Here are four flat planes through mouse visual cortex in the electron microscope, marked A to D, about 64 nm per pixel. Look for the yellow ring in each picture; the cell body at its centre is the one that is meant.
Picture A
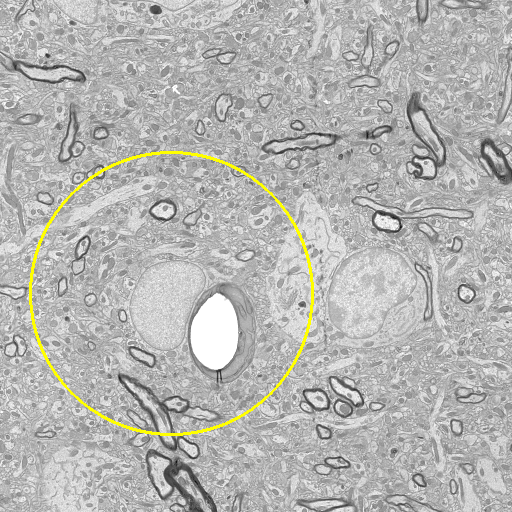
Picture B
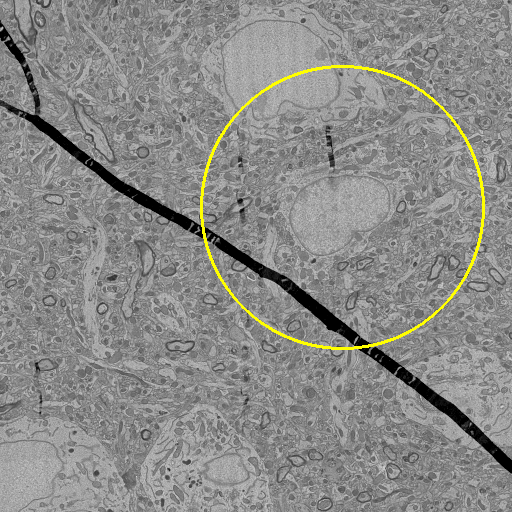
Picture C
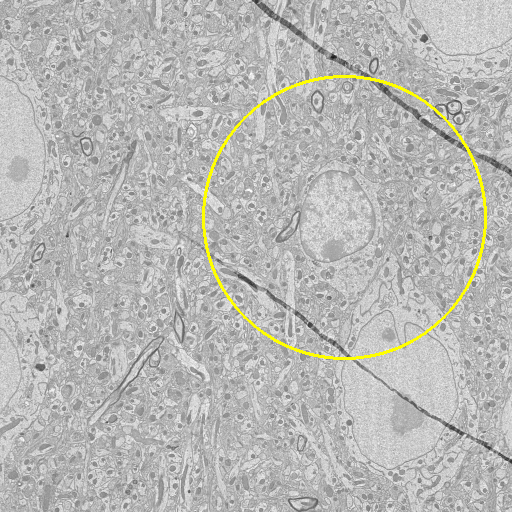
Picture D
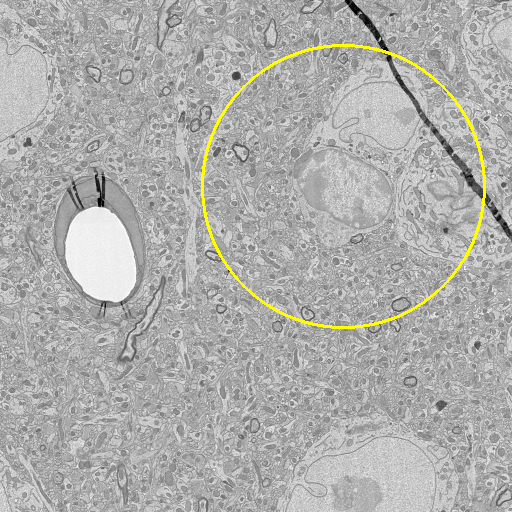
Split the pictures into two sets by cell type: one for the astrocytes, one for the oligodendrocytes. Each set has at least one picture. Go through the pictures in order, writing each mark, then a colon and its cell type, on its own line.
A: astrocyte
B: astrocyte
C: oligodendrocyte
D: oligodendrocyte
